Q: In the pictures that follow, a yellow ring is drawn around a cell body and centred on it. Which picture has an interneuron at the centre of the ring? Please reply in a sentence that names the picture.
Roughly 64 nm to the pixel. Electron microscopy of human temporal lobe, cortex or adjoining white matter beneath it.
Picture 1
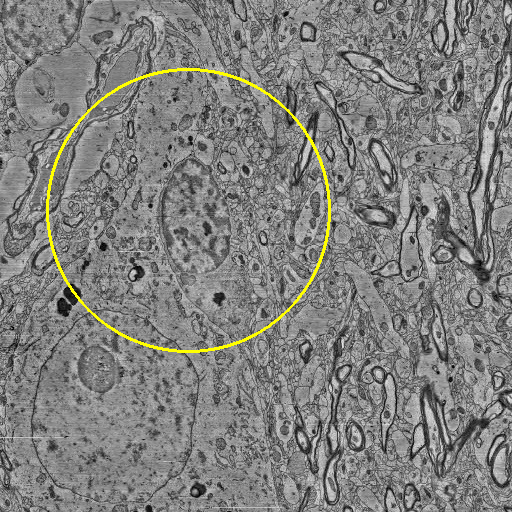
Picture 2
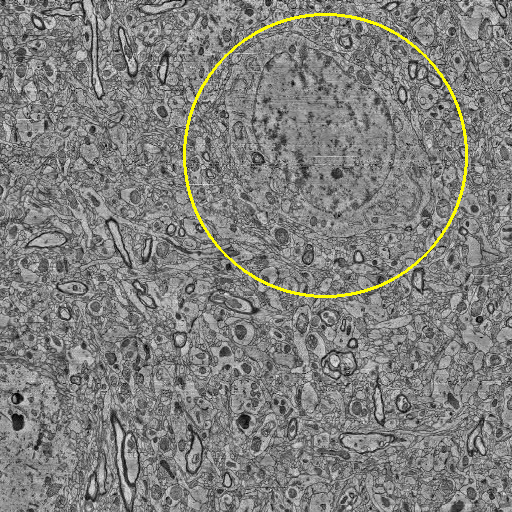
Picture 2 shows it at the centre of its ring.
